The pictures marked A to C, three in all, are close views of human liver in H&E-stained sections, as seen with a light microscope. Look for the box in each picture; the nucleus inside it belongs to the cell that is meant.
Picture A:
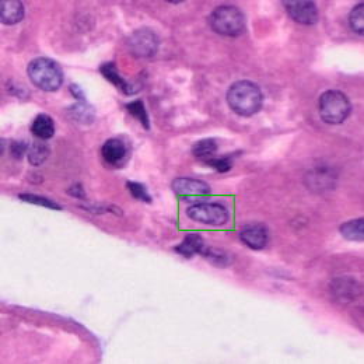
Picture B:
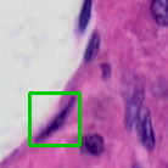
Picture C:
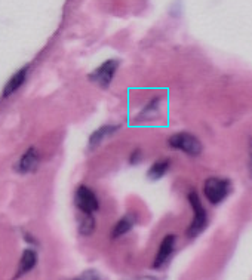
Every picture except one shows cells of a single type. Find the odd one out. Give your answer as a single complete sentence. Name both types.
Picture A differs, because its cell is a cholangiocyte and the rest are “fibroblasts or stellate cells”.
